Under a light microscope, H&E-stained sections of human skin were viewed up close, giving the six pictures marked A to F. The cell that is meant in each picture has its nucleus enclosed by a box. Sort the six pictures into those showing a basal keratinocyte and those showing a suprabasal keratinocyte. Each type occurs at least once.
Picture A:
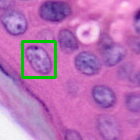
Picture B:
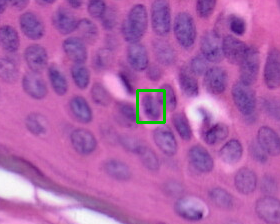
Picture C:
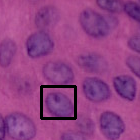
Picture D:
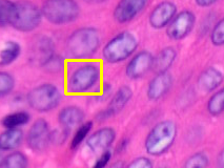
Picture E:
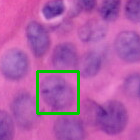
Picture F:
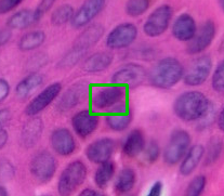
A: suprabasal keratinocyte
B: basal keratinocyte
C: suprabasal keratinocyte
D: suprabasal keratinocyte
E: suprabasal keratinocyte
F: basal keratinocyte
